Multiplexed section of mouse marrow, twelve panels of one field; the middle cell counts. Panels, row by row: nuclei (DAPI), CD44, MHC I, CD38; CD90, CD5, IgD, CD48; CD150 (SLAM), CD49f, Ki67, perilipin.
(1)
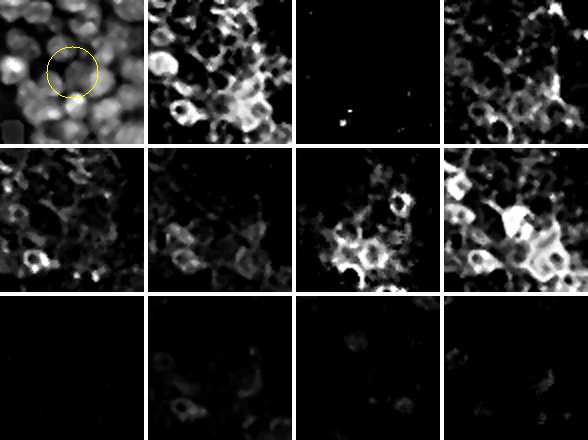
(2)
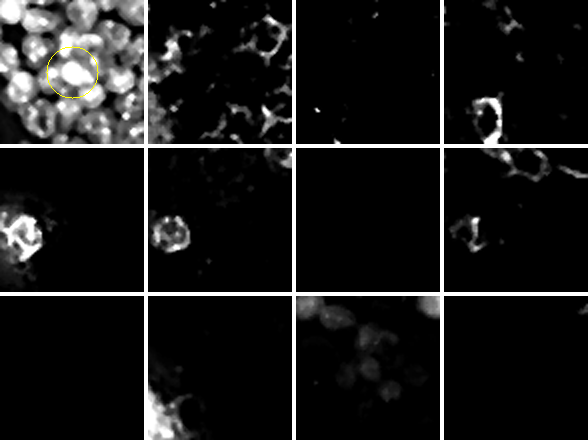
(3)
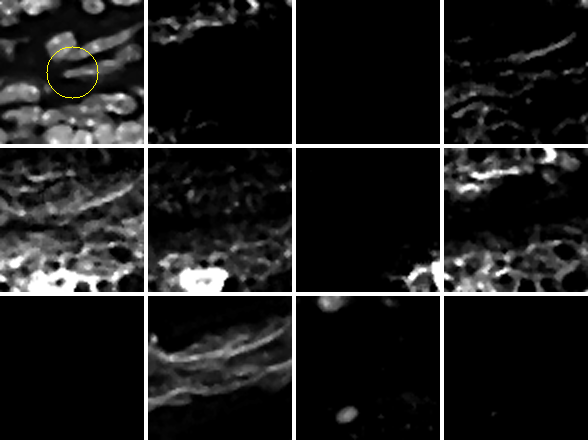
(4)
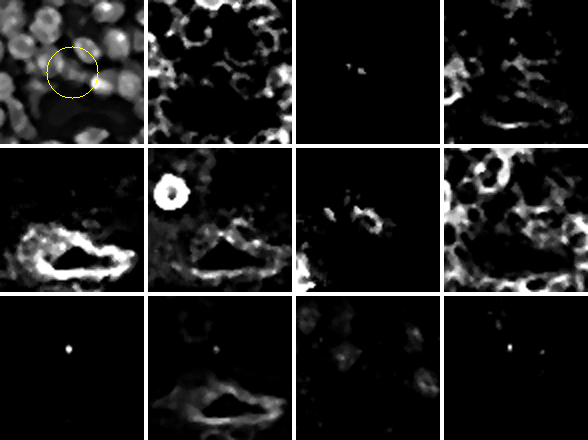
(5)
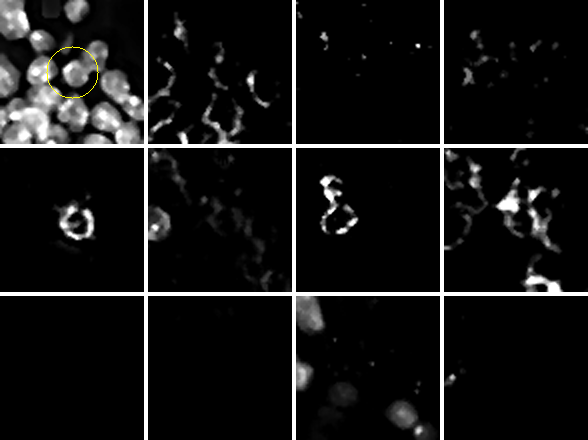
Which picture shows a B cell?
Picture 4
